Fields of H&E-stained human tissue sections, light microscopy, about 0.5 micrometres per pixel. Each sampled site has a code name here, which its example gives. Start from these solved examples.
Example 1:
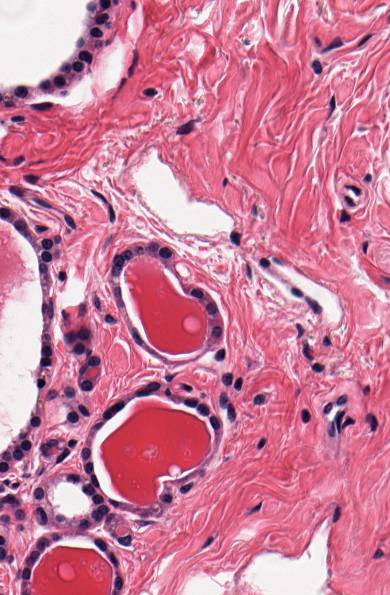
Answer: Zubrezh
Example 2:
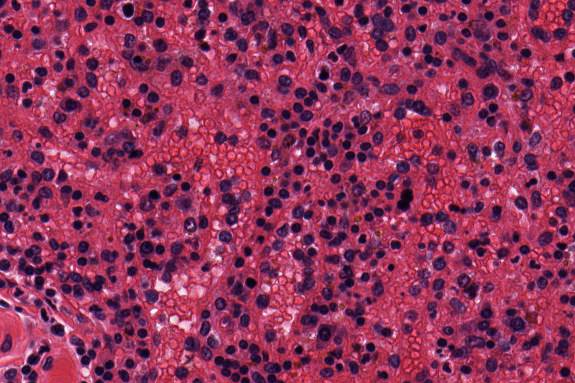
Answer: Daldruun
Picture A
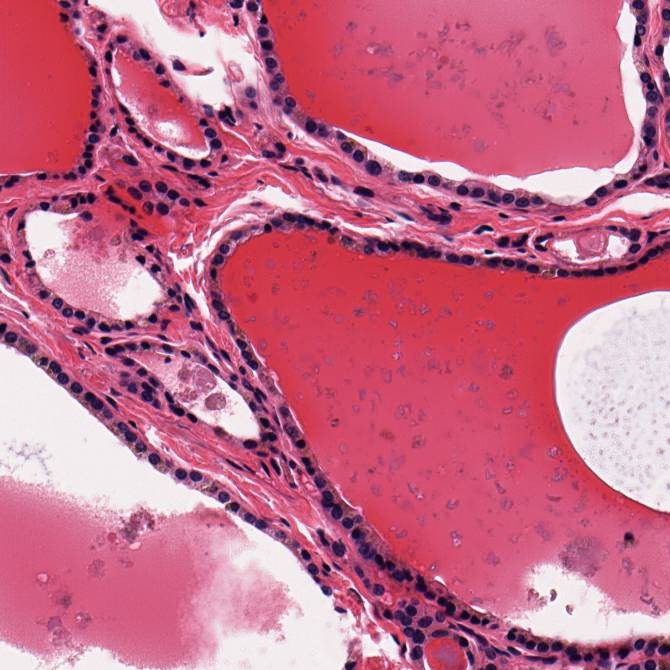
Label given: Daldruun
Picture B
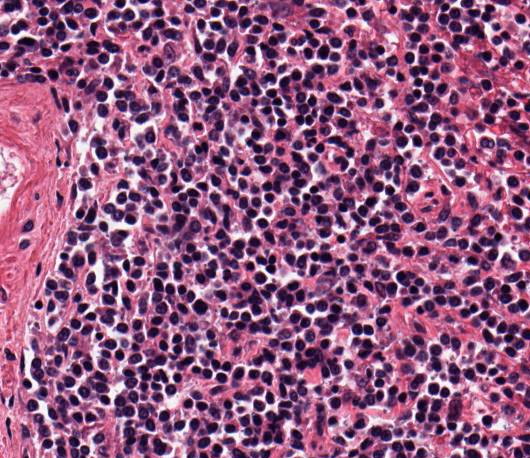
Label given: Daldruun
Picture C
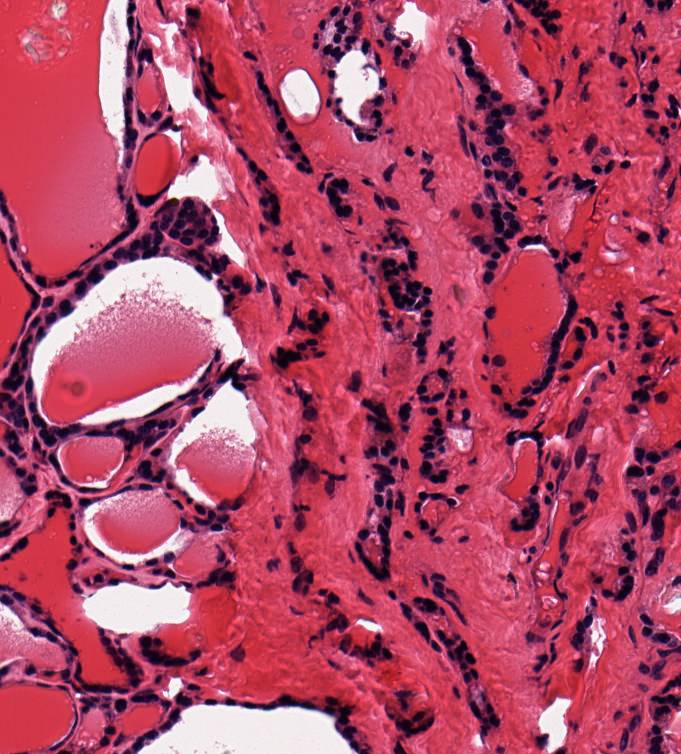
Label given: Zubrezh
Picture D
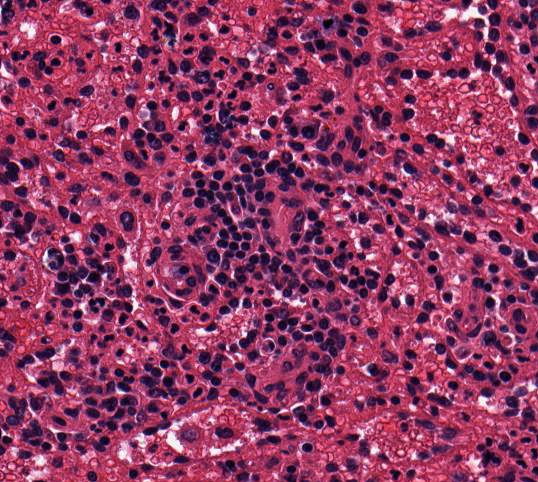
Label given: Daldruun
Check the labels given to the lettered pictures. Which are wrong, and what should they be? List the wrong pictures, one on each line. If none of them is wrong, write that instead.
A is labelled Daldruun; correct label: Zubrezh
